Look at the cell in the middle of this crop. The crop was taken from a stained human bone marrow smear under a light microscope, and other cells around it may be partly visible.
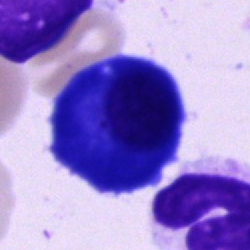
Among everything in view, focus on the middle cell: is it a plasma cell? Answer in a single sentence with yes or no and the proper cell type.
Yes, the middle cell in this crop is a plasma cell.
